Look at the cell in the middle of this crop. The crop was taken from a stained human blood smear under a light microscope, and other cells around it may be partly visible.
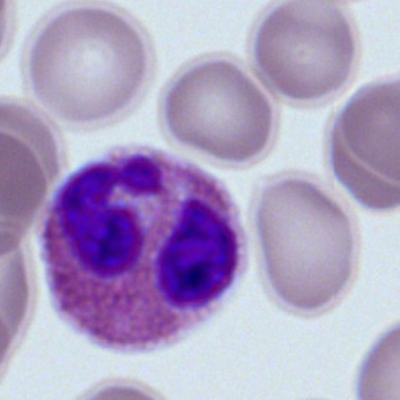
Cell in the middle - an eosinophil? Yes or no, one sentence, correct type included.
Yes, this crop has an eosinophil at its centre.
